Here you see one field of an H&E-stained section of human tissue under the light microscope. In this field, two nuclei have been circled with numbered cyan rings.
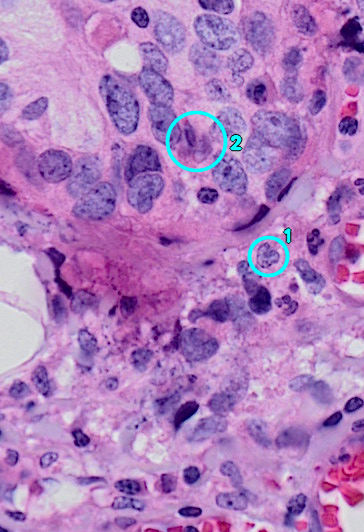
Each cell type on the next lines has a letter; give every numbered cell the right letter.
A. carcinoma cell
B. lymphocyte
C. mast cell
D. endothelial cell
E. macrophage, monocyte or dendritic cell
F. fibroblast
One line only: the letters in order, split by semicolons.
E; A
